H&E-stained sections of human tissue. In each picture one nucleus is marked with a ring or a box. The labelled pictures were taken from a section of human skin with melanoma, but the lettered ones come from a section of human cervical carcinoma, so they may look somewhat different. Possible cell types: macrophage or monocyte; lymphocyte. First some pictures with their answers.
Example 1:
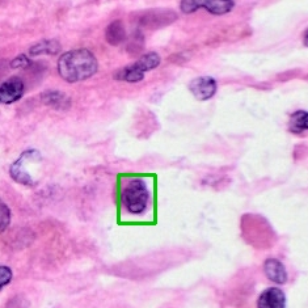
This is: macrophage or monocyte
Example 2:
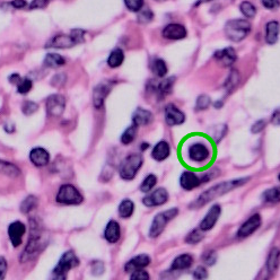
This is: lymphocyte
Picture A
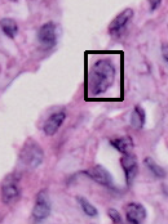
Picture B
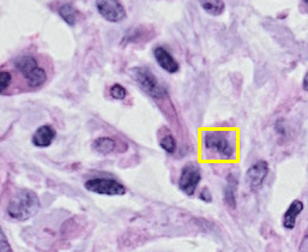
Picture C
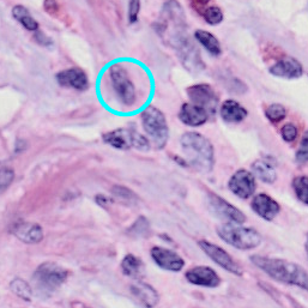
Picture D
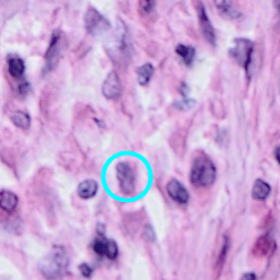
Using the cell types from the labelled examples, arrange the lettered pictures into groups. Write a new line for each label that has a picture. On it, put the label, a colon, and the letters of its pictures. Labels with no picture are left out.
macrophage or monocyte: A, B, C, D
